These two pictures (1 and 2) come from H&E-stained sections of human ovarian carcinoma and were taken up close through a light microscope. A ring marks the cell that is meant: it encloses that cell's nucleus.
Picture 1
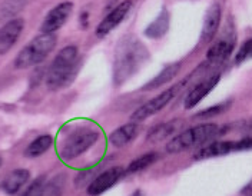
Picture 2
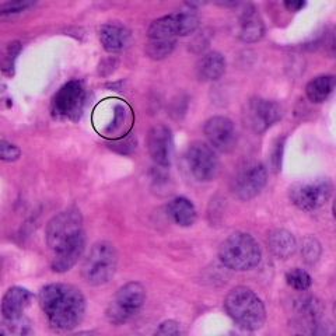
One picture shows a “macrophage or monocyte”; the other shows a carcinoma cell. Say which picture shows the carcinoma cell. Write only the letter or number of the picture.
1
